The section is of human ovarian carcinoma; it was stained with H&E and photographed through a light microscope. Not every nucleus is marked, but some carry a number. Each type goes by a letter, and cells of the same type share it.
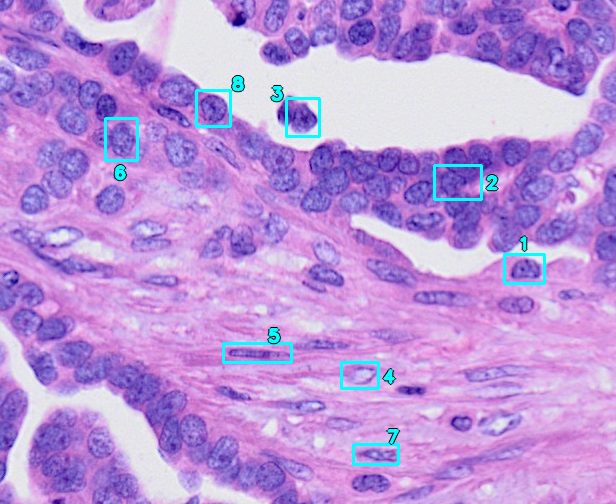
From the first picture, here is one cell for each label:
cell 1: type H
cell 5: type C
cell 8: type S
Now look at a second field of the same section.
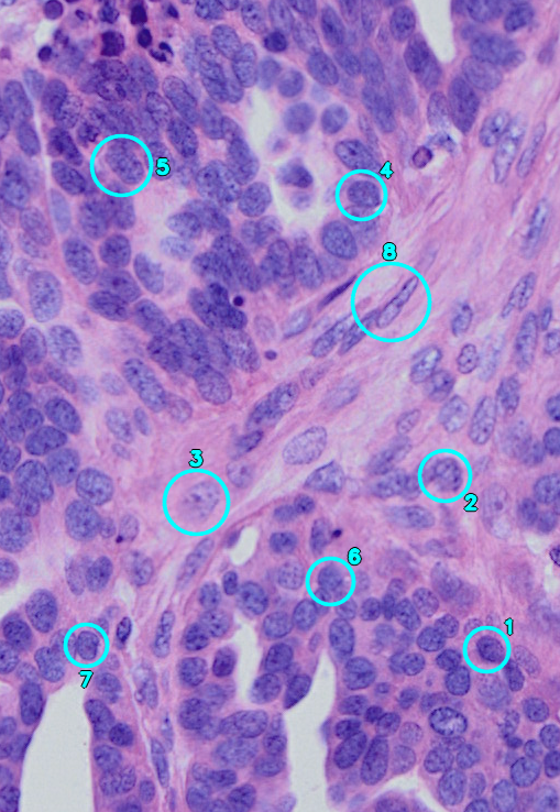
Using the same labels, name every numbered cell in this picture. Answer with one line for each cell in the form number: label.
1: type S
2: type H
3: type C
4: type S
5: type S
6: type S
7: type S
8: type C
